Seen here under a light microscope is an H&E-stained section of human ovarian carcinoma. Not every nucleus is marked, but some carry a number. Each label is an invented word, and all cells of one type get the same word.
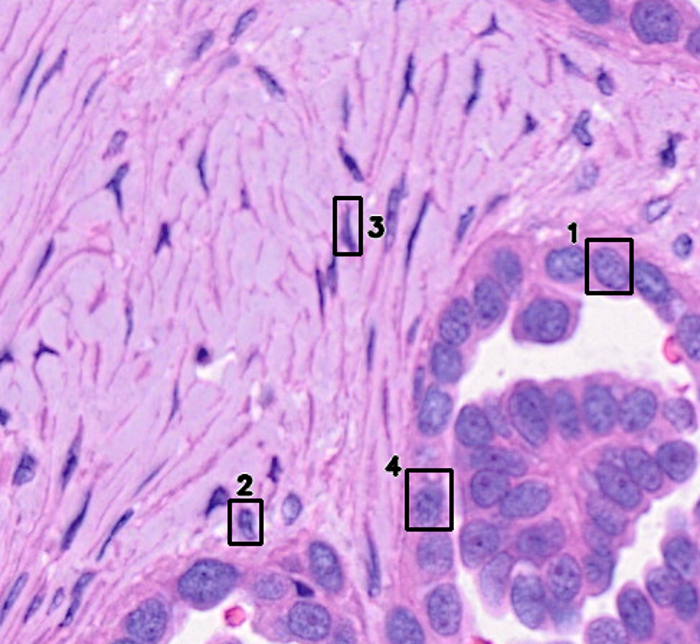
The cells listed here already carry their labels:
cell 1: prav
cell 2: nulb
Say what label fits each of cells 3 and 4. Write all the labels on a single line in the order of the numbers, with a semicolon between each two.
nulb; prav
